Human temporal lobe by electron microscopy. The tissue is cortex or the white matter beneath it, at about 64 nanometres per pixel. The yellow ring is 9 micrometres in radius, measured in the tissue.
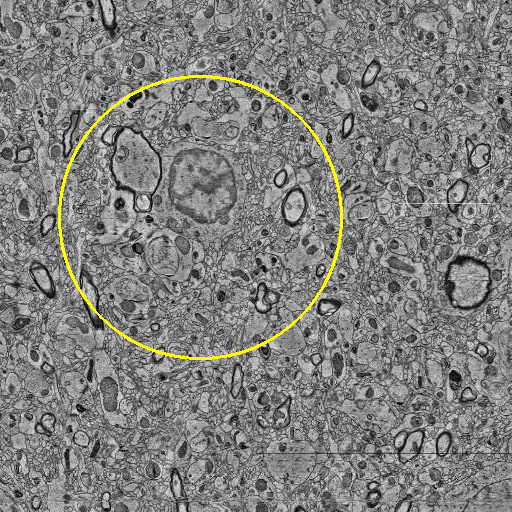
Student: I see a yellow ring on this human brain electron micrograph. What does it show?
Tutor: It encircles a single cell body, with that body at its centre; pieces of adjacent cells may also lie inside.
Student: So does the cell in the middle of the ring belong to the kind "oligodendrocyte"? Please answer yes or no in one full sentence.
Yes, the cell in the middle of that yellow ring belongs to this kind.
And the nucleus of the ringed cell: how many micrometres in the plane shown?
In this plane, roughly 5 micrometres across.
